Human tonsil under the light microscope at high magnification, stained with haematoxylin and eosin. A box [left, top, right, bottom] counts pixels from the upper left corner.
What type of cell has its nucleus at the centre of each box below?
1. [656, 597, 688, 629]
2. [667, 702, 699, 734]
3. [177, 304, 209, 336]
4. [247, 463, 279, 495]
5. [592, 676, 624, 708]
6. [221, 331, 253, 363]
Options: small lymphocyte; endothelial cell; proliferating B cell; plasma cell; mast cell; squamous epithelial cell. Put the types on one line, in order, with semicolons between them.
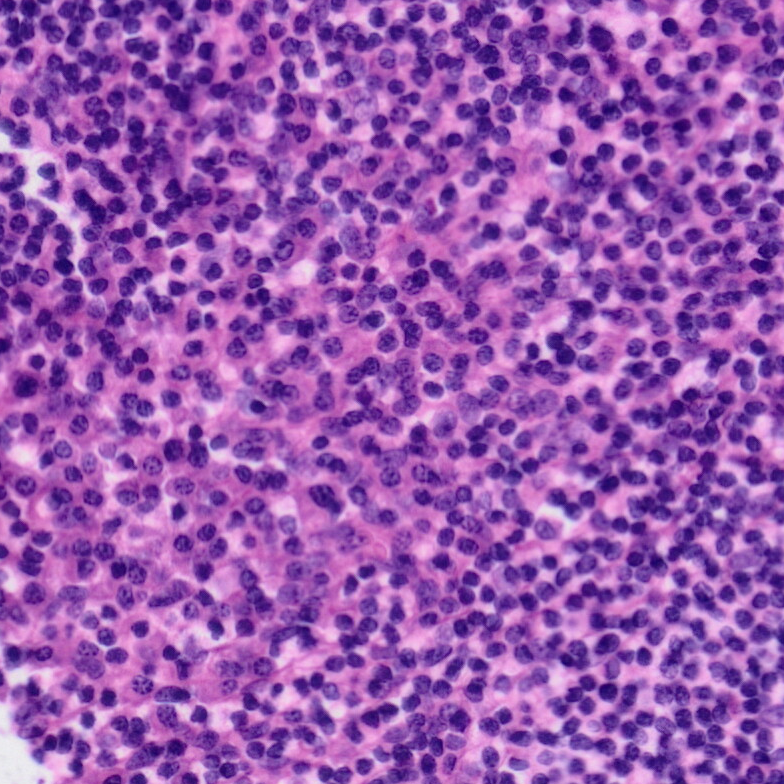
small lymphocyte; small lymphocyte; plasma cell; plasma cell; small lymphocyte; plasma cell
